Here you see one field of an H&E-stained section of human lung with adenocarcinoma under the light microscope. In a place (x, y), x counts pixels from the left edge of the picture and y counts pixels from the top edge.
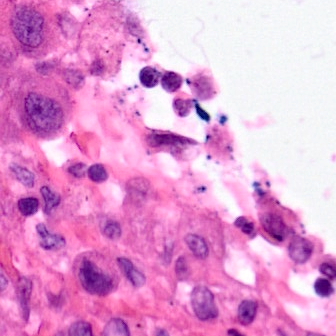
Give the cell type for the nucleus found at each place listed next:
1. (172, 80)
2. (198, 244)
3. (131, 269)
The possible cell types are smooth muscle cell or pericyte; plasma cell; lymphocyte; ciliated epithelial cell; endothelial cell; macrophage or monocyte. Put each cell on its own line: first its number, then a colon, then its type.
1: lymphocyte
2: macrophage or monocyte
3: macrophage or monocyte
